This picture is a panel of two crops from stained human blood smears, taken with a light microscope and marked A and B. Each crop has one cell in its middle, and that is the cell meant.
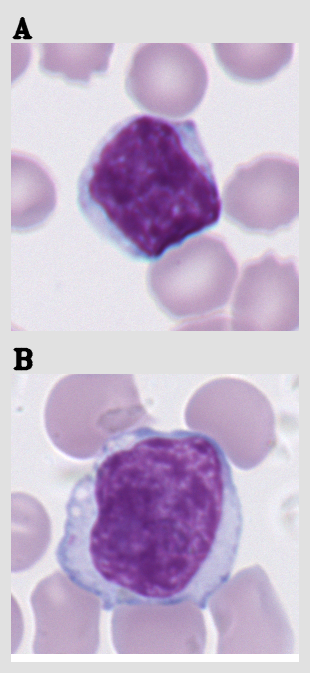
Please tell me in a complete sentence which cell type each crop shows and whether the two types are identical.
No, a blast is in crop B, and a lymphocyte is in crop A.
